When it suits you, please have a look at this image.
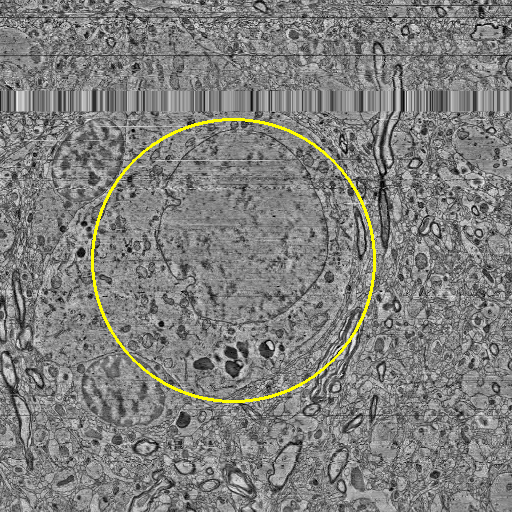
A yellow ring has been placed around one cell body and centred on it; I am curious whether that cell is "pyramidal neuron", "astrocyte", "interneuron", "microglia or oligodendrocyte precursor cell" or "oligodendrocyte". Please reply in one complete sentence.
The ringed cell, a pyramidal neuron, has its body at the centre of the yellow ring.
